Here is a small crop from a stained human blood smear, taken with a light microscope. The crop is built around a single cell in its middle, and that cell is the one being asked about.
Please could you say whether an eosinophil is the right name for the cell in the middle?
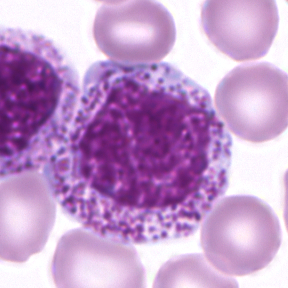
no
